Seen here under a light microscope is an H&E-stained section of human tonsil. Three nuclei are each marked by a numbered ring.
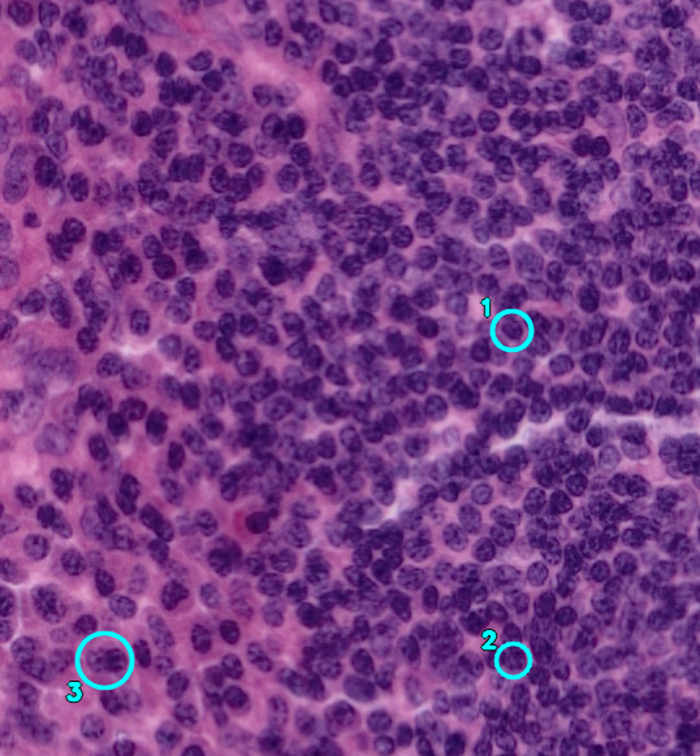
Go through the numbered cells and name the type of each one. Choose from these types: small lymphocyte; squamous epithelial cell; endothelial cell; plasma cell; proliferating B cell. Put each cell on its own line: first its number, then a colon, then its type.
1: small lymphocyte
2: small lymphocyte
3: plasma cell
